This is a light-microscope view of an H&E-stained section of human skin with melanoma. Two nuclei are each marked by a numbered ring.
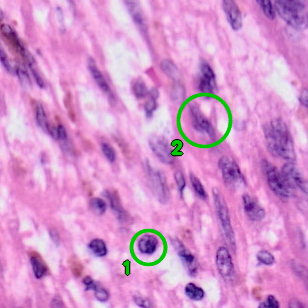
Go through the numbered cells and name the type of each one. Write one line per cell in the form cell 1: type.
cell 1: lymphocyte
cell 2: melanoma cell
